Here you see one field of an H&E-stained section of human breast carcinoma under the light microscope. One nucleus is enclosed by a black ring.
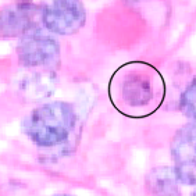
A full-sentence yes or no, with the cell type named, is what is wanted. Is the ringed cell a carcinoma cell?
Yes, the ringed cell corresponds to a carcinoma cell in this tissue.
